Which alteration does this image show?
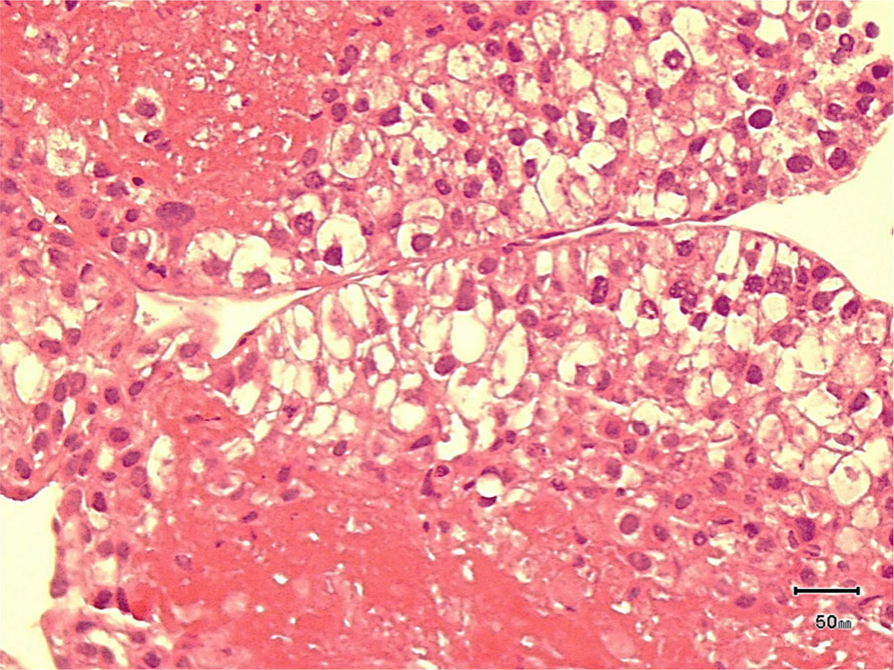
clear cytoplasm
